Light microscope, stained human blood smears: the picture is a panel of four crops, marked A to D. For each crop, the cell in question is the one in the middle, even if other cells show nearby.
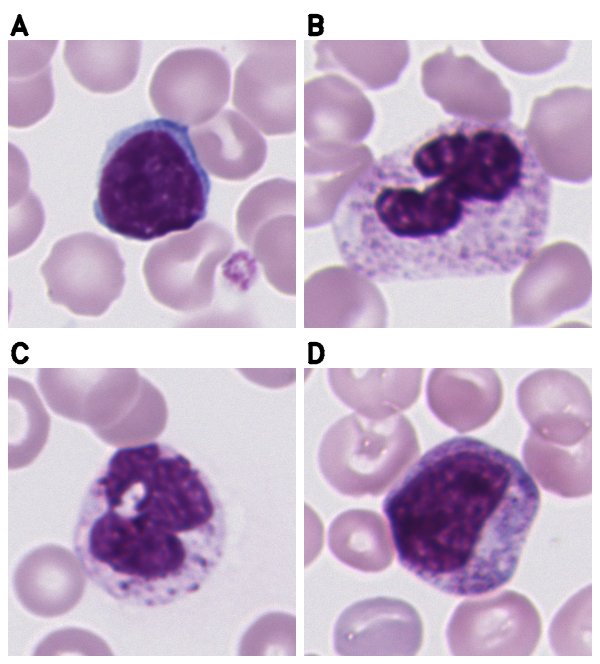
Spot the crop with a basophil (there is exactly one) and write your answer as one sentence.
Of the cells presented, the one in crop C is a basophil.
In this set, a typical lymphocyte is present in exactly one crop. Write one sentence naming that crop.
Crop A matches the request, showing a typical lymphocyte.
